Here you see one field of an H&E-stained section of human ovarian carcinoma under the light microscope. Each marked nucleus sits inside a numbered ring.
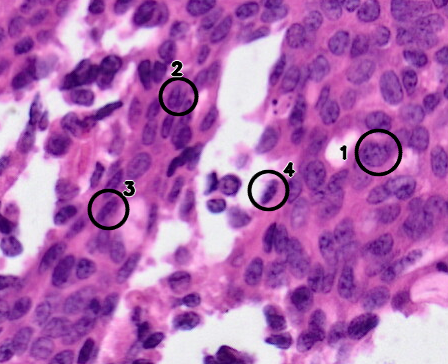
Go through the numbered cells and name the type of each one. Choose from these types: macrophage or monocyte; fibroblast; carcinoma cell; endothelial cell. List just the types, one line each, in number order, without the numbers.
carcinoma cell
carcinoma cell
carcinoma cell
macrophage or monocyte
